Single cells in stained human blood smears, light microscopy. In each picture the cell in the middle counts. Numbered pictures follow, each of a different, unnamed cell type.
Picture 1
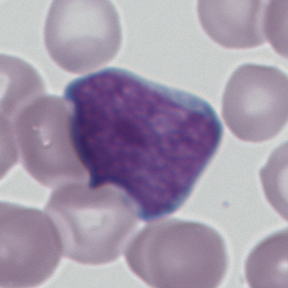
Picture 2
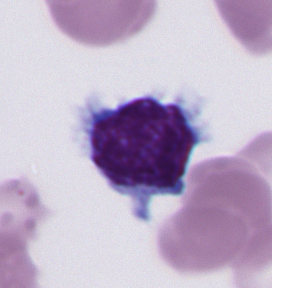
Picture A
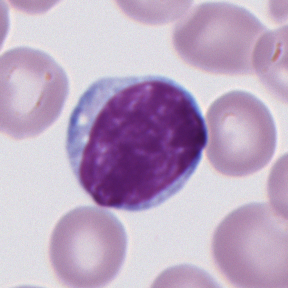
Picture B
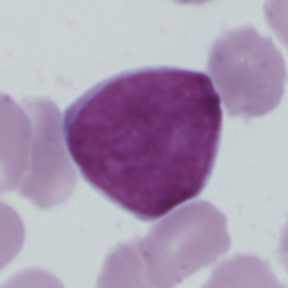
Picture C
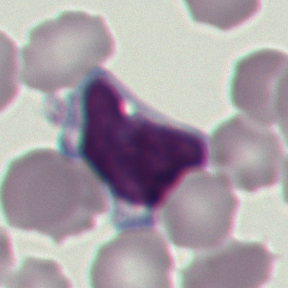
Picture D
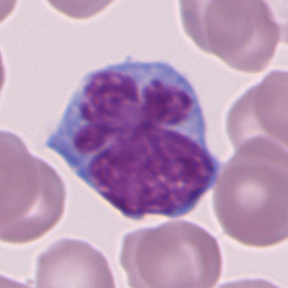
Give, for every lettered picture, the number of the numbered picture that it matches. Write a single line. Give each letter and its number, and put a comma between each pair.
A 2, B 1, C 2, D 1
